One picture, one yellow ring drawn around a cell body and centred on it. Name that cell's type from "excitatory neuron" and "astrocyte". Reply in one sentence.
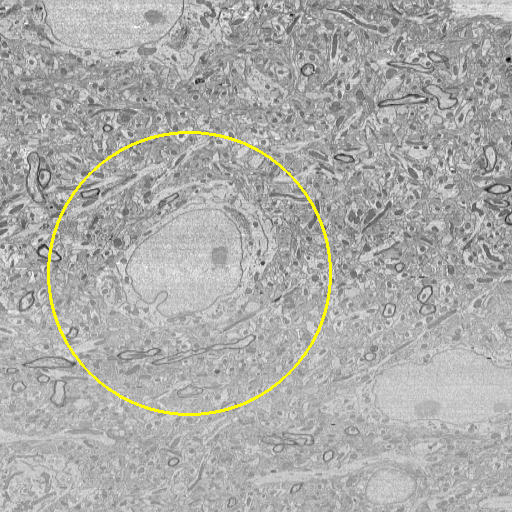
Centred in the ring is an excitatory neuron.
